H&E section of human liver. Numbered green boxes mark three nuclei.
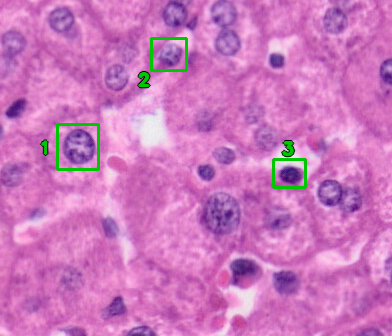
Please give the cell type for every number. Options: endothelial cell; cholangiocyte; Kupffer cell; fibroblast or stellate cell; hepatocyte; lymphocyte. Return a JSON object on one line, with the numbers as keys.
{"1": "hepatocyte", "2": "Kupffer cell", "3": "lymphocyte"}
